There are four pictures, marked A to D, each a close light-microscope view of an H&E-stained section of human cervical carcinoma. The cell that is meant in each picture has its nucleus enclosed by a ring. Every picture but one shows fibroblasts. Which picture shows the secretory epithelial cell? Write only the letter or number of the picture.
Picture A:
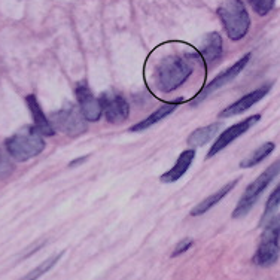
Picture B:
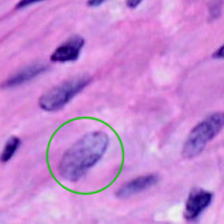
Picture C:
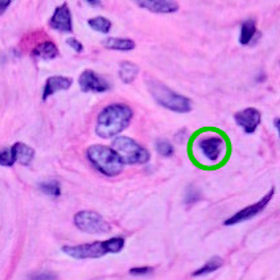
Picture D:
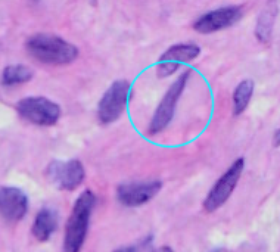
A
